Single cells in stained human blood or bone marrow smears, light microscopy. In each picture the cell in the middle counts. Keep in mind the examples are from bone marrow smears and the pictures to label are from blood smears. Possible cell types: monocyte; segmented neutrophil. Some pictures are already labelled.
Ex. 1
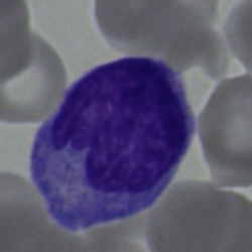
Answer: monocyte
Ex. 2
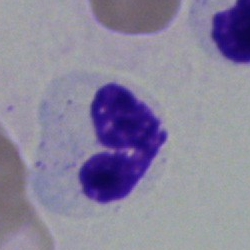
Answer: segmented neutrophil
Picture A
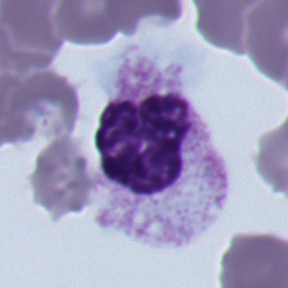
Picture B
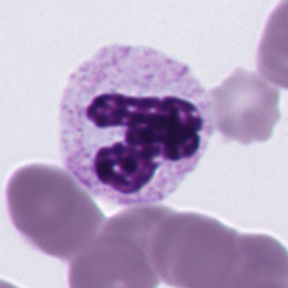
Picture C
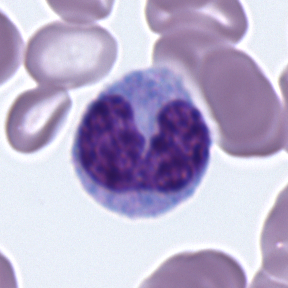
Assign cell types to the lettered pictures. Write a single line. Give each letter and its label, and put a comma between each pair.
A segmented neutrophil, B segmented neutrophil, C monocyte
